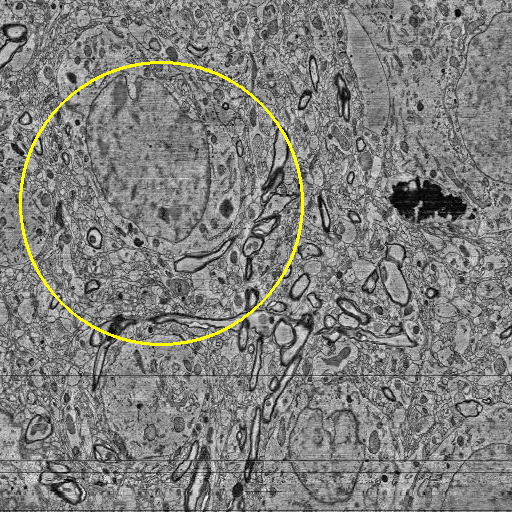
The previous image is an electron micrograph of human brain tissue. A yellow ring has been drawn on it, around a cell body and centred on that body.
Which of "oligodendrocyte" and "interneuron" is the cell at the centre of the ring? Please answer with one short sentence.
The cell body at the centre of the ring belongs to an interneuron.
